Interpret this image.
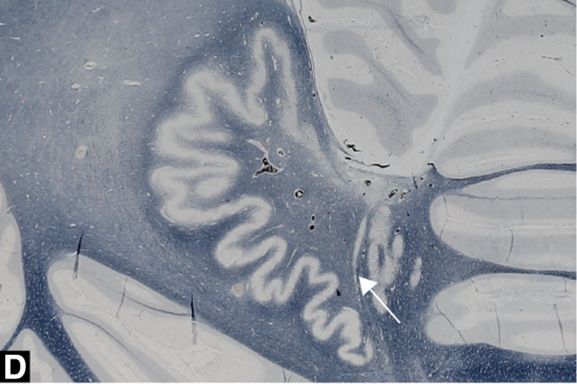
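The nucleus appears as a pale, unstained ribbon of gray matter that is crimped into many tight folds, like a crumpled purse. To the right and lower left lie cerebellar folia, each with a pale cortex around a dark blue core of white matter. Small vessels are cut across as dark dots and short slits scattered in the white matter.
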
